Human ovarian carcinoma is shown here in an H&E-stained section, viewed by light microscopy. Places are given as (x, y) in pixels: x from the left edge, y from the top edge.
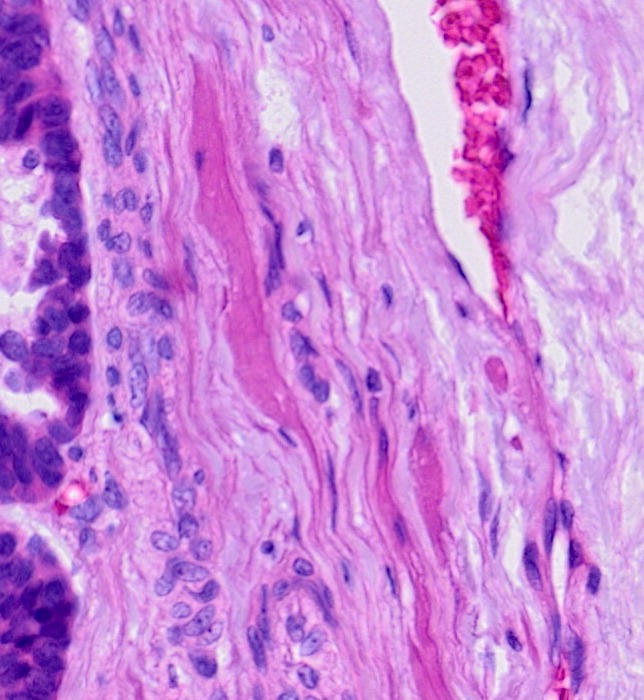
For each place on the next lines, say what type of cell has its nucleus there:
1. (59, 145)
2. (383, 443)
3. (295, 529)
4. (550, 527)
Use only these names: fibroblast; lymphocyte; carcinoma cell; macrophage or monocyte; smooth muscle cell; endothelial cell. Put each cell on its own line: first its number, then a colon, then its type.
1: carcinoma cell
2: smooth muscle cell
3: fibroblast
4: endothelial cell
